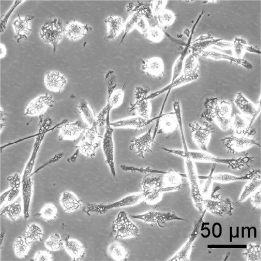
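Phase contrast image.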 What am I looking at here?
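Two shapes are mixed together: some cells are rounded and bright, with a halo and a bumpy, ruffled surface. Others have flattened onto the dish and drawn out into long spindle shapes with thin processes at either end. The elongated cells point in many directions and sometimes cross one another. Both rounded and stretched cells are scattered fairly evenly across the field, with open space between them.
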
